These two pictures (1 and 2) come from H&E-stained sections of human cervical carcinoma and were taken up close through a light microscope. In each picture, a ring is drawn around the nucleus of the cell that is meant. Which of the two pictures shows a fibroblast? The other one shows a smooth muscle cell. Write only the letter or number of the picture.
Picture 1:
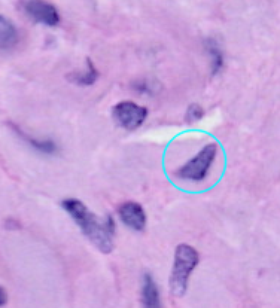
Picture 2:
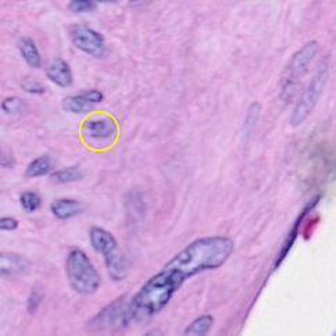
1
